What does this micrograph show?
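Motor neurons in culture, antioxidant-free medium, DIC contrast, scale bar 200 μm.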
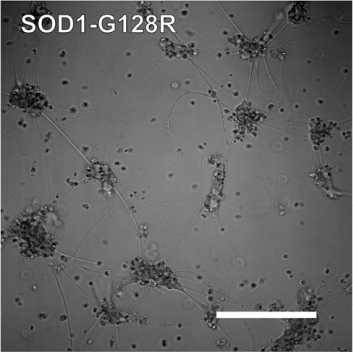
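Cell bodies lie in rounded or irregular clumps spread over the dish. Fine processes extend from the clumps, some linking neighbouring clumps, others ending in open space. Many small, isolated round bodies are scattered across the flat grey background between the clumps.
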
